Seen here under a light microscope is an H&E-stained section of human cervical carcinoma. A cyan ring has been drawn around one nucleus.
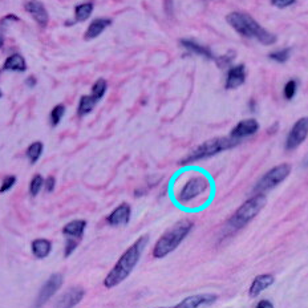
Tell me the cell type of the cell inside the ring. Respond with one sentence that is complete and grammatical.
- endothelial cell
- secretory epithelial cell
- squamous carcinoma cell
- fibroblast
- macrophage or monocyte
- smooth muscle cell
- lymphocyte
In terms of identity, the cell inside the ring is a smooth muscle cell.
